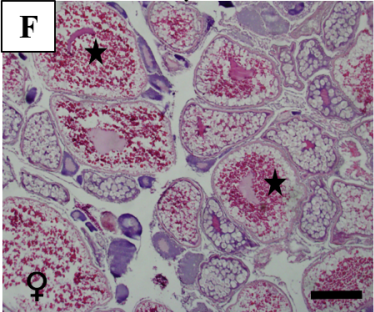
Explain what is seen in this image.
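This is ovarian tissue containing oocytes at several stages of growth. The largest oocytes are round and bounded by a thin follicular envelope; their cytoplasm is crowded with pink-red yolk granules, and some show a paler central area. Between them lie smaller oocytes whose cytoplasm stains purple and is free of yolk, some with a visible central nucleus. Intermediate oocytes show a pale, finely vacuolated cytoplasm. The oocytes are packed closely, separated only by thin strands of connective tissue and some clear spaces, giving a mosaic of rounded profiles of varying size and colour.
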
